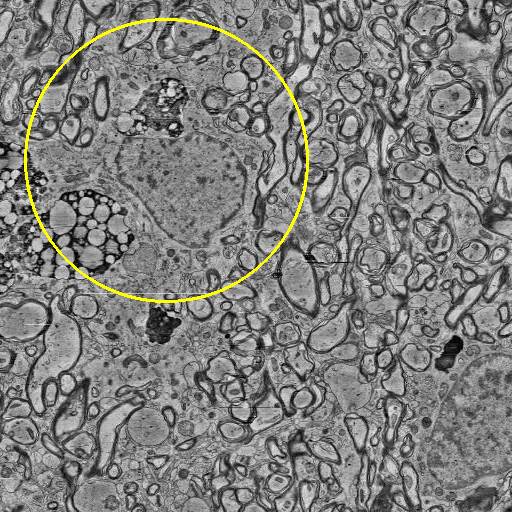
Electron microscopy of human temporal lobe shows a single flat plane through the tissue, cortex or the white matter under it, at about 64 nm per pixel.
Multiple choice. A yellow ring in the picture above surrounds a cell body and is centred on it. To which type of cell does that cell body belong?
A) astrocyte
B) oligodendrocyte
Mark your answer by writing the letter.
A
